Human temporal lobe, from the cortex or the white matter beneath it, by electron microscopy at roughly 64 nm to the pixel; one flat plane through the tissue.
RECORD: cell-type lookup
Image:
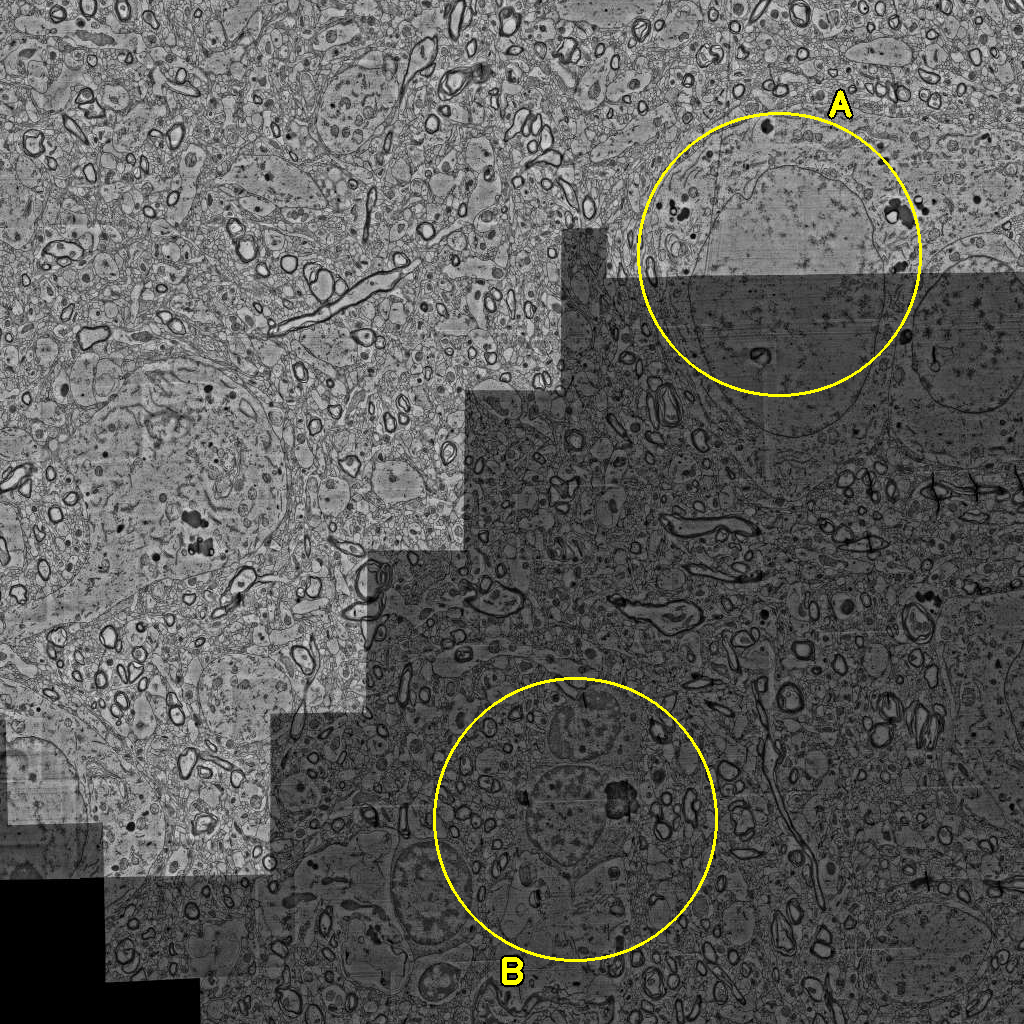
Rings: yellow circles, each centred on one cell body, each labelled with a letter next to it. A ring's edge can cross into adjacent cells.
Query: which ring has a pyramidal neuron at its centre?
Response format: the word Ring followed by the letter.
Ring A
